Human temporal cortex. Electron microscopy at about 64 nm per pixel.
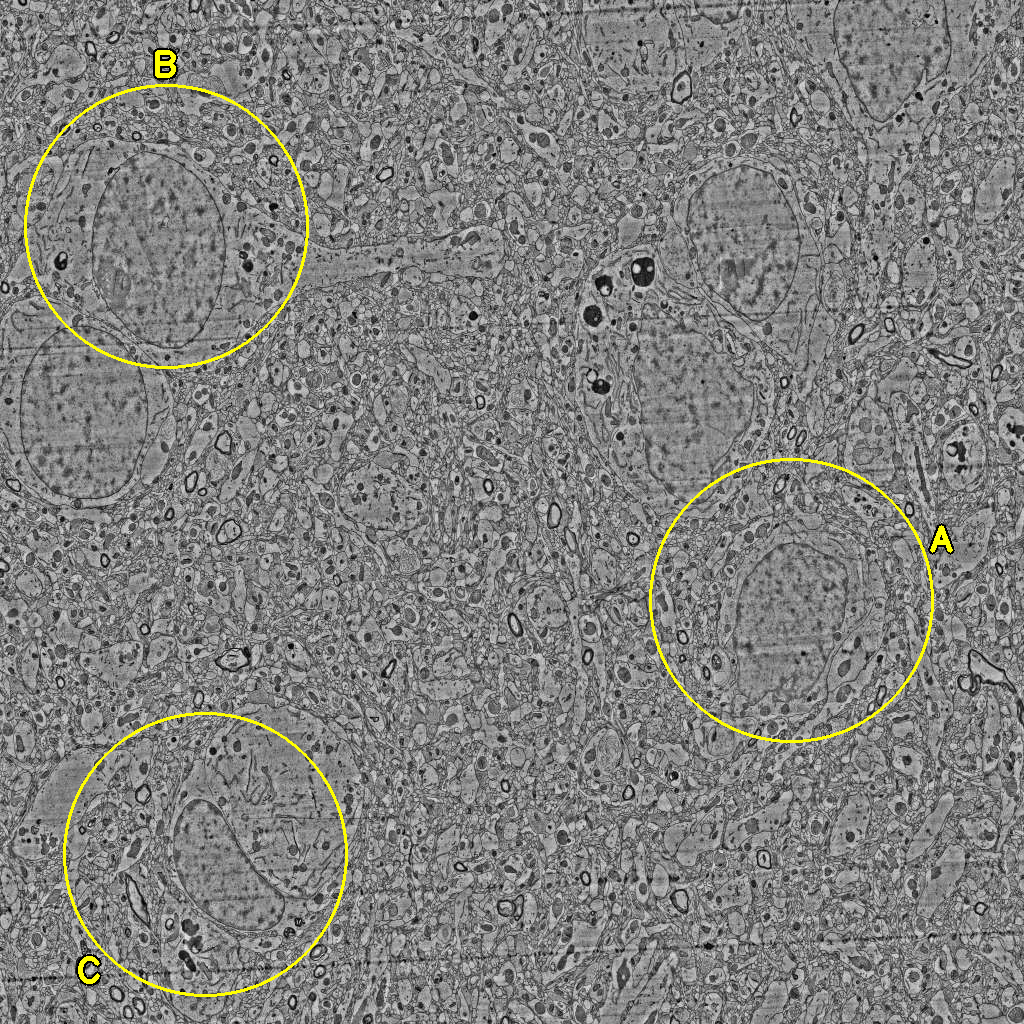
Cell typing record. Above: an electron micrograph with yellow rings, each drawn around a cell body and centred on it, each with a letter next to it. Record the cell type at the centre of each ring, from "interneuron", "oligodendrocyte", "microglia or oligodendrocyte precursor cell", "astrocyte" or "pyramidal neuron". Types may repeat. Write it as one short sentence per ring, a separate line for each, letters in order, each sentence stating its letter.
Ring A circles an interneuron.
Ring B circles a pyramidal neuron.
Ring C circles a microglial cell or oligodendrocyte precursor cell.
